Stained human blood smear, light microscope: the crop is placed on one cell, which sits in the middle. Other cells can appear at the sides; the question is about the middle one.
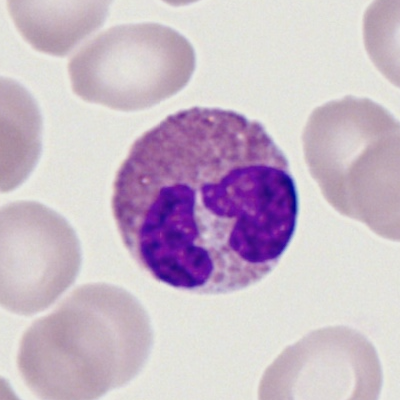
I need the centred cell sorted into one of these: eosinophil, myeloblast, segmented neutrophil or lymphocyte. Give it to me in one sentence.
In this smear crop, the middle cell is an eosinophil.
